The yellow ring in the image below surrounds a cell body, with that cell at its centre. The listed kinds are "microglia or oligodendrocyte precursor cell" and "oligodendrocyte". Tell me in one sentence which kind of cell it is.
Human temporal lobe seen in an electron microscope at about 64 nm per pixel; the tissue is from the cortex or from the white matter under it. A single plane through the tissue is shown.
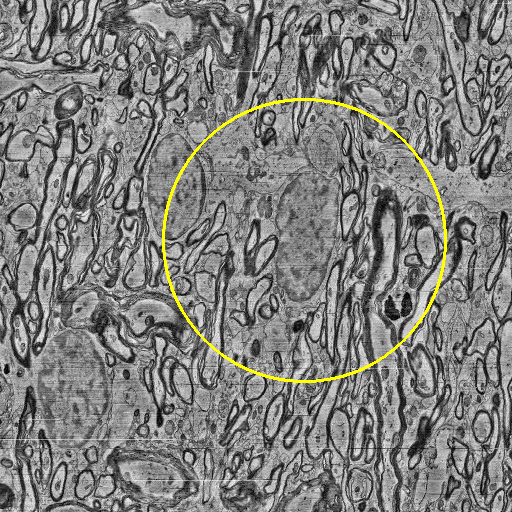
The centre of the ring holds an oligodendrocyte.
